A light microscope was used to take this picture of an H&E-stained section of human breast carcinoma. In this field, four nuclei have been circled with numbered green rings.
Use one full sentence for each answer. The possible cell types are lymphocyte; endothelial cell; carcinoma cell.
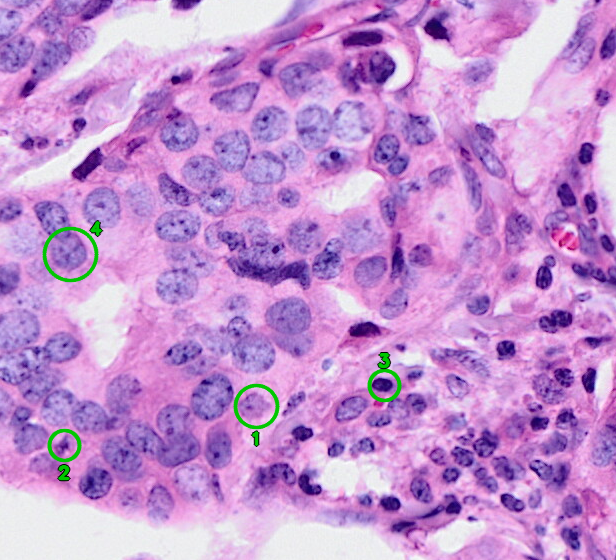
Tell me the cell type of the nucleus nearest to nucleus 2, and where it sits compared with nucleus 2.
A carcinoma cell lies closest, below and to the left of nucleus 2.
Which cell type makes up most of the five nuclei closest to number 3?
Endothelial cells account for more than half of the five nuclei nearest to number 3.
